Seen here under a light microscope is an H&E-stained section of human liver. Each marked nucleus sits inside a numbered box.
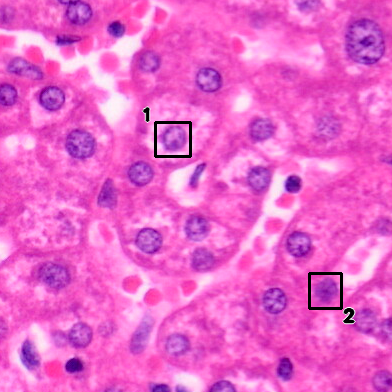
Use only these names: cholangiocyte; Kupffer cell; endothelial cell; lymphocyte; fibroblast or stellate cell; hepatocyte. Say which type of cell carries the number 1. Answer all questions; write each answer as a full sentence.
In this section, the cell tagged 1 is a hepatocyte.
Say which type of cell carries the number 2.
Among the marked cells, number 2 is an endothelial cell.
